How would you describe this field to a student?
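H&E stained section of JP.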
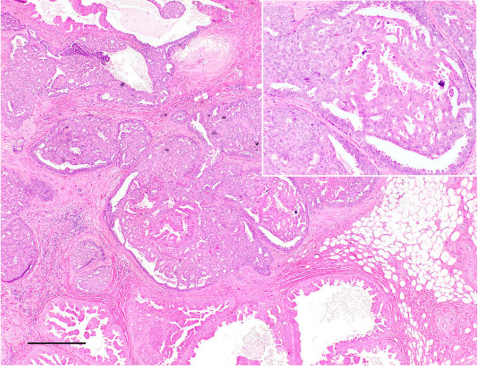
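This section shows ductal spaces filled by a florid proliferation of epithelial cells with papillary and apocrine features. The epithelium forms fronds and irregular bridging masses that project into and fill dilated lumina.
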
